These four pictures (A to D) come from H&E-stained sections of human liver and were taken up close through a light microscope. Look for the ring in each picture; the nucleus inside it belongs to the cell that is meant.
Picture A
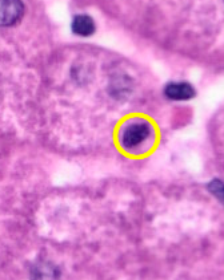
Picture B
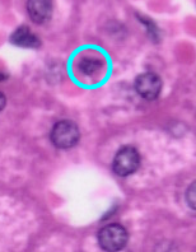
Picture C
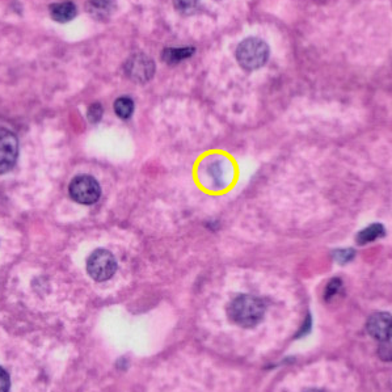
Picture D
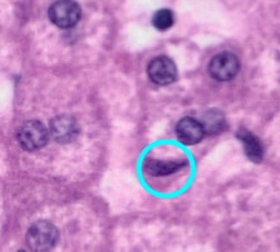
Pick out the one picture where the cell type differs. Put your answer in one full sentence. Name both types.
Unlike the rest, which show “fibroblasts or stellate cells”, picture C shows an endothelial cell.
